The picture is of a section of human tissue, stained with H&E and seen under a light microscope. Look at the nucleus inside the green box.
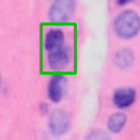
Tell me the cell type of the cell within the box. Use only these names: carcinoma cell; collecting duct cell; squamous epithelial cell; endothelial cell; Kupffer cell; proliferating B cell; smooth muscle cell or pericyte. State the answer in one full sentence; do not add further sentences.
In this section of tissue, the cell within the box is a collecting duct cell.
